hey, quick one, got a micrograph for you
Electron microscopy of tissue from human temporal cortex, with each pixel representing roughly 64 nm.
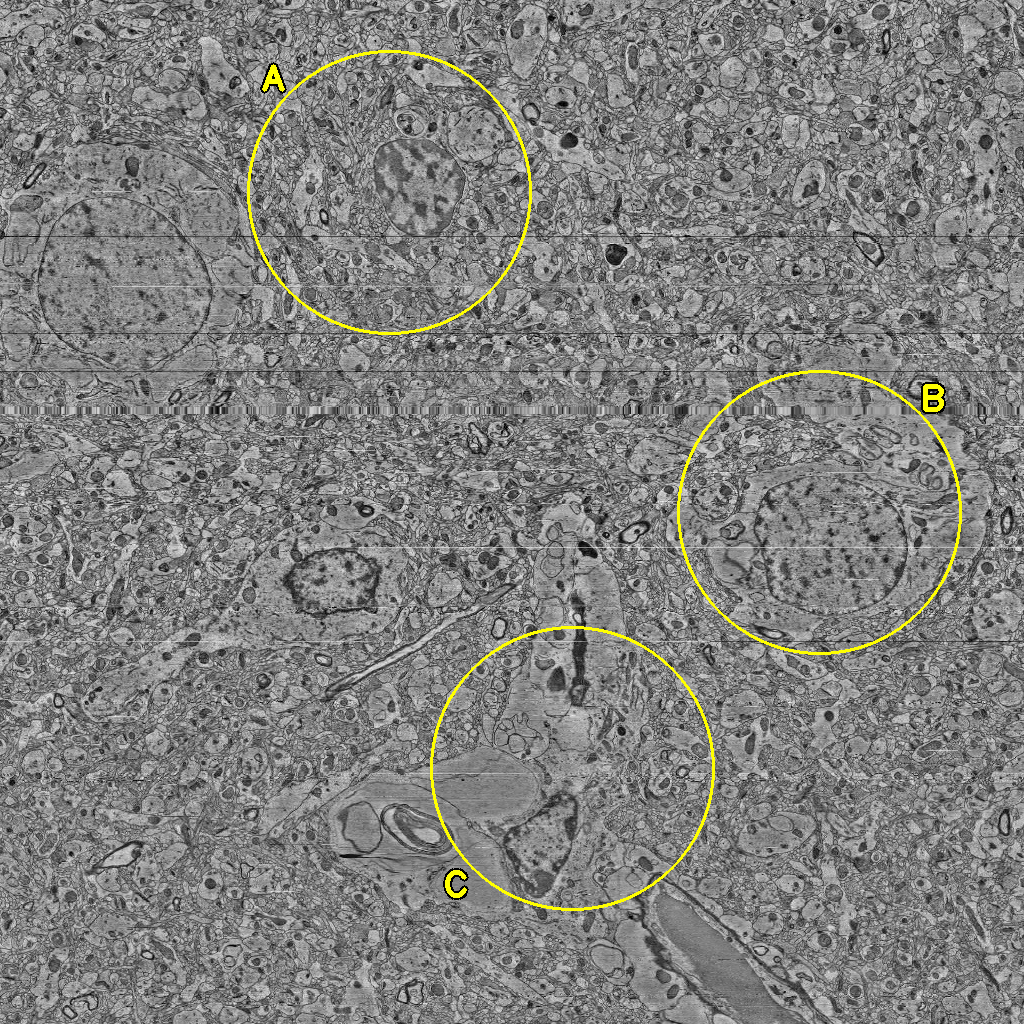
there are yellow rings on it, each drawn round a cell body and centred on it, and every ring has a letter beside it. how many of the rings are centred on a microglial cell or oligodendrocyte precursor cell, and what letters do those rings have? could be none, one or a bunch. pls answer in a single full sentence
The letters A and C mark two rings, and each such ring is centred on a microglial cell or oligodendrocyte precursor cell.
